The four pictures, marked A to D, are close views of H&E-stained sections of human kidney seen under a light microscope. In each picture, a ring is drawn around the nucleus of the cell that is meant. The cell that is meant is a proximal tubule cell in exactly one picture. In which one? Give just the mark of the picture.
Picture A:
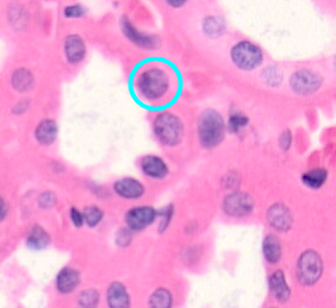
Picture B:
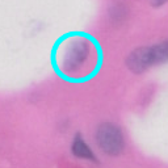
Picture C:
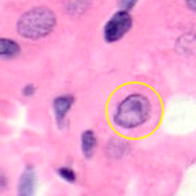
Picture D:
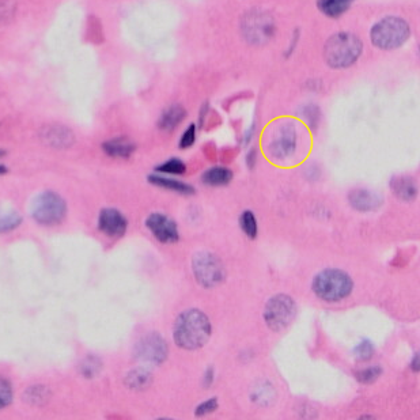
C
